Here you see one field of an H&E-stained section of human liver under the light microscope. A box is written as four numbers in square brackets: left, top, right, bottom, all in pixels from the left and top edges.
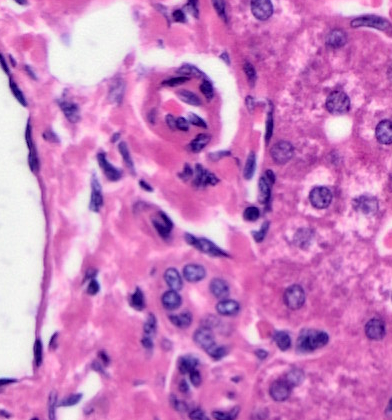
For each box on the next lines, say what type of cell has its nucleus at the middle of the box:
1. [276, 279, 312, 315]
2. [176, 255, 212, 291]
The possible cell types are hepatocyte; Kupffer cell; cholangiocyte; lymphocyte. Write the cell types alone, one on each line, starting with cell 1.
hepatocyte
cholangiocyte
